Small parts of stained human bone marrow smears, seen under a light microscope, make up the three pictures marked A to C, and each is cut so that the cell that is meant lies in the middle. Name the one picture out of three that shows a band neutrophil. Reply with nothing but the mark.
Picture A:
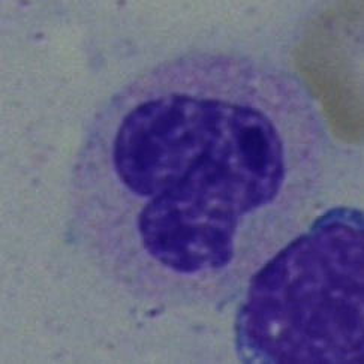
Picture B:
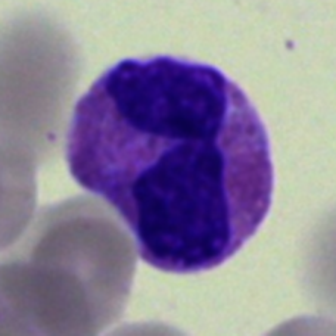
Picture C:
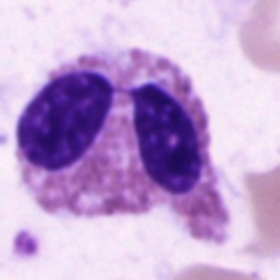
A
